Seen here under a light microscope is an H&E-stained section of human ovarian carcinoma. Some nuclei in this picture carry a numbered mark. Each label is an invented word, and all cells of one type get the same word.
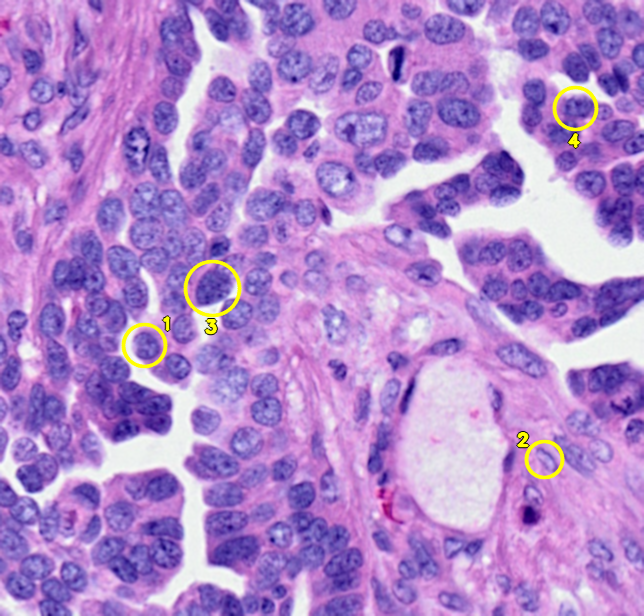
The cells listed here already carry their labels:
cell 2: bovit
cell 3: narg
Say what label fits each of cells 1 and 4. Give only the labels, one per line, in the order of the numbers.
narg
narg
